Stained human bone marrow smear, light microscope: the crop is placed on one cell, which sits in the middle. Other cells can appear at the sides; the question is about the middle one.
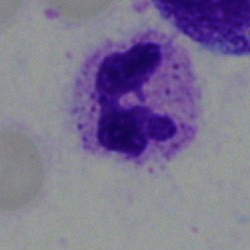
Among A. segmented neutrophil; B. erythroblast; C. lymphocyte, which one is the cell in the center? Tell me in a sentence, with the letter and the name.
Well, the cell in the middle is a segmented neutrophil, making option A right.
